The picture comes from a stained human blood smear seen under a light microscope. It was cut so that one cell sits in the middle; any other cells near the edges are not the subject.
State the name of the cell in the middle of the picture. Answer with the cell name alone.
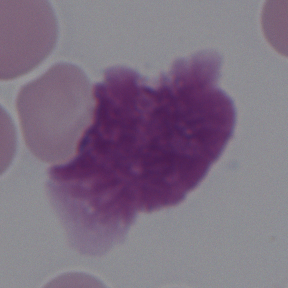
smudge cell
